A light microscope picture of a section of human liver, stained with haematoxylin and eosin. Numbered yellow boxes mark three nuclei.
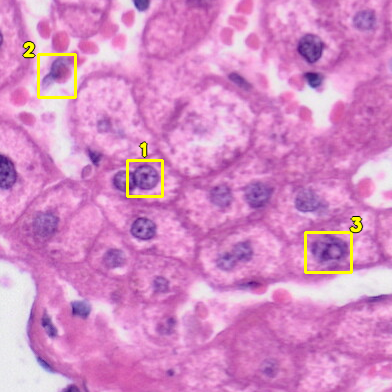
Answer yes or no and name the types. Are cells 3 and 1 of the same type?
Yes, and to be precise, cells 3 and 1 are both hepatocytes.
